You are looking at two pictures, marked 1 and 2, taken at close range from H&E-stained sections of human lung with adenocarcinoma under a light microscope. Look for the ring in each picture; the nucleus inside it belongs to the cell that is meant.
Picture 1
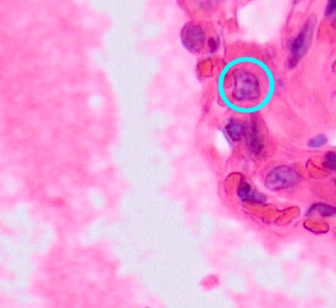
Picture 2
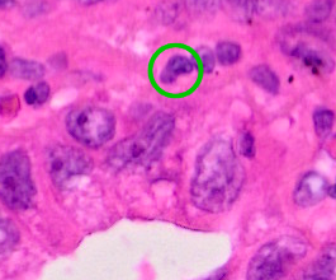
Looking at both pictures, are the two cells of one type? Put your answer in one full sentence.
No. Picture 1 shows a “macrophage or monocyte”, but picture 2 shows a lymphocyte.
